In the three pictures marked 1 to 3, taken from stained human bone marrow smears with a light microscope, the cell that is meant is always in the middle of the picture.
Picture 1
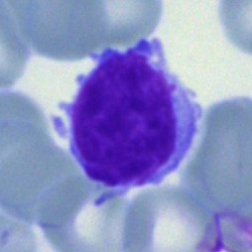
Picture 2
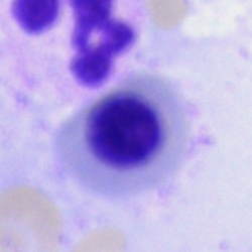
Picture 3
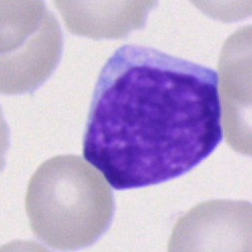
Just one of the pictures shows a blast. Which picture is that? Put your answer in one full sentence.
The cell in picture 3 is the blast.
